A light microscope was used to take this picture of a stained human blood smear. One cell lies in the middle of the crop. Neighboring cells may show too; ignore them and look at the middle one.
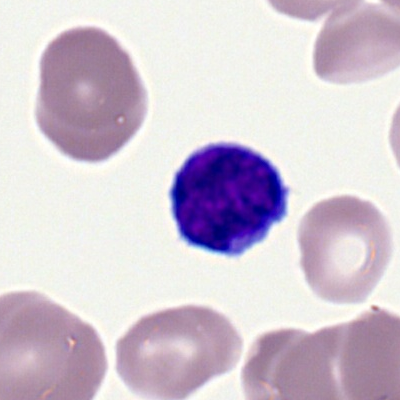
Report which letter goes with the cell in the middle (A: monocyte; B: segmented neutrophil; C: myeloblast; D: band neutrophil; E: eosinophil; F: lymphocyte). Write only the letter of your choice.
F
